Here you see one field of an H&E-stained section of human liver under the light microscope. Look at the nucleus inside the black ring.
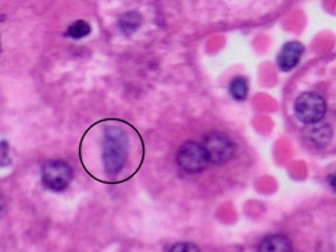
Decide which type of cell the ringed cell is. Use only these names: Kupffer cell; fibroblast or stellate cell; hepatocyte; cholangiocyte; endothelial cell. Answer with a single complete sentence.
In this field of tissue, the ringed cell is a Kupffer cell.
